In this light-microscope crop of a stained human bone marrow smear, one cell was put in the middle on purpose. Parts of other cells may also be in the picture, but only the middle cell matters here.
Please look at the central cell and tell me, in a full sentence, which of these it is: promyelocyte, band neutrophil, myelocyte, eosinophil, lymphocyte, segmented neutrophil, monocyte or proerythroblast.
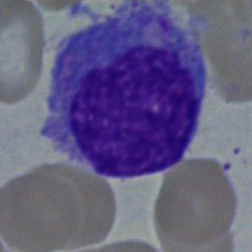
The cell nearest the centre of this crop is a monocyte.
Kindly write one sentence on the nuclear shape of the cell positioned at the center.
One compact mass makes up the whole nucleus, round, oval or kidney-shaped.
